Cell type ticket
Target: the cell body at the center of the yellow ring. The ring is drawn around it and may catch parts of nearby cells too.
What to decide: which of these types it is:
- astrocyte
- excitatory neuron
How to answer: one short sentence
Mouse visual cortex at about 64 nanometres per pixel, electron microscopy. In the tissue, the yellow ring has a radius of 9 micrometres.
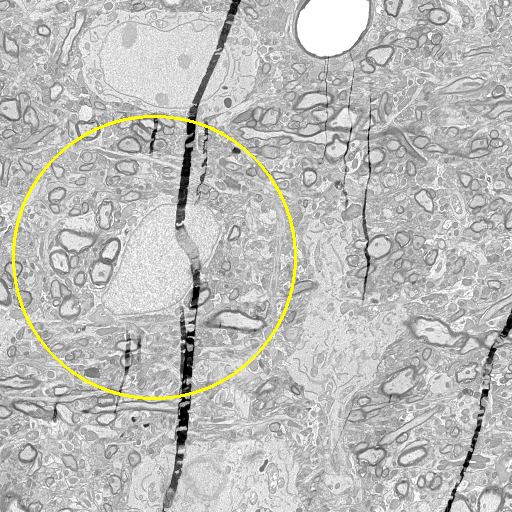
The cell at the center of the ring is an astrocyte.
